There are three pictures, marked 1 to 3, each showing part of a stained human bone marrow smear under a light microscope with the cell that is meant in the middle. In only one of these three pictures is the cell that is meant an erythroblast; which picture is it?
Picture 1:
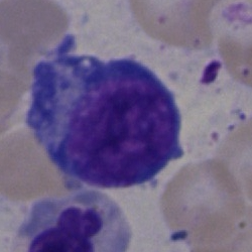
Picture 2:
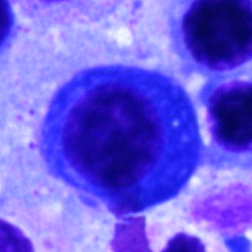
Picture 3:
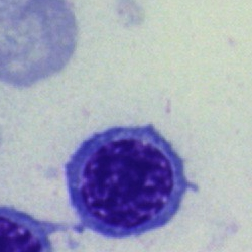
3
